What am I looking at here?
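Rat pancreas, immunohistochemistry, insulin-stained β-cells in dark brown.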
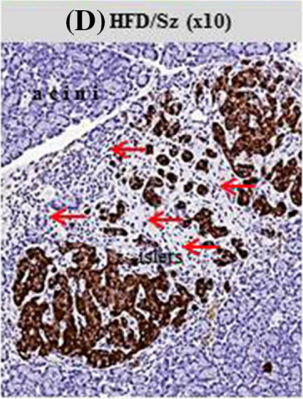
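Within the islet, brown-stained endocrine cells form two large dense clusters and many small scattered groups. Between the small groups lie pale, unstained fibrous areas resembling scar tissue.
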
